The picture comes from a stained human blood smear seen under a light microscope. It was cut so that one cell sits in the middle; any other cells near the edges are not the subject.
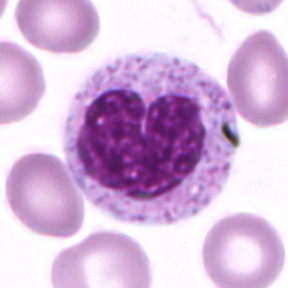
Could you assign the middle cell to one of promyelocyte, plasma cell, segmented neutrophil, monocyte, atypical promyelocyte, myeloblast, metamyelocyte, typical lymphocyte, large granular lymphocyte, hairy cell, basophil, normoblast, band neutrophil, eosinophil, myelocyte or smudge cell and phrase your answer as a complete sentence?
Here the cell in the middle is a band neutrophil.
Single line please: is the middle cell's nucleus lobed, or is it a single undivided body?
Please observe that the nucleus consists of one compact round, oval or kidney-shaped mass.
